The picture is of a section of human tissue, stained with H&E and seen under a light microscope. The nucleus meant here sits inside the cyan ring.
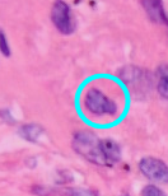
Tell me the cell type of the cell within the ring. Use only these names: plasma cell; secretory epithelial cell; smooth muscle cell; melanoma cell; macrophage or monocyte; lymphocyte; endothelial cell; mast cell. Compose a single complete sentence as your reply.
Among the cells in this section, the cell within the ring is a mast cell.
